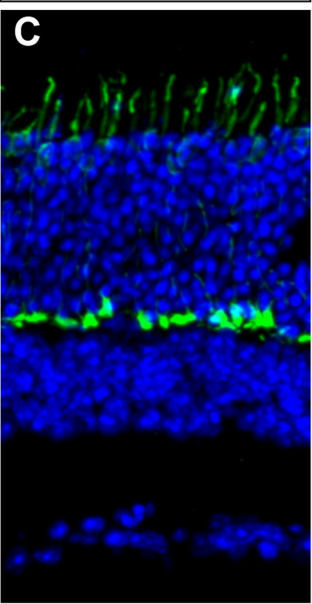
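Vertical section of the outer retina with photoreceptors. The outer nuclear layer is a broad band of many rows of small, round blue nuclei. Green cone outer segments project from its outer surface as short, somewhat irregular processes. Thin green fibres descend through the nuclear layer to bright green, bulbous terminals lined up in the outer plexiform layer. Beneath are the inner nuclear layer, a dark inner plexiform layer and scattered ganglion cell nuclei.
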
